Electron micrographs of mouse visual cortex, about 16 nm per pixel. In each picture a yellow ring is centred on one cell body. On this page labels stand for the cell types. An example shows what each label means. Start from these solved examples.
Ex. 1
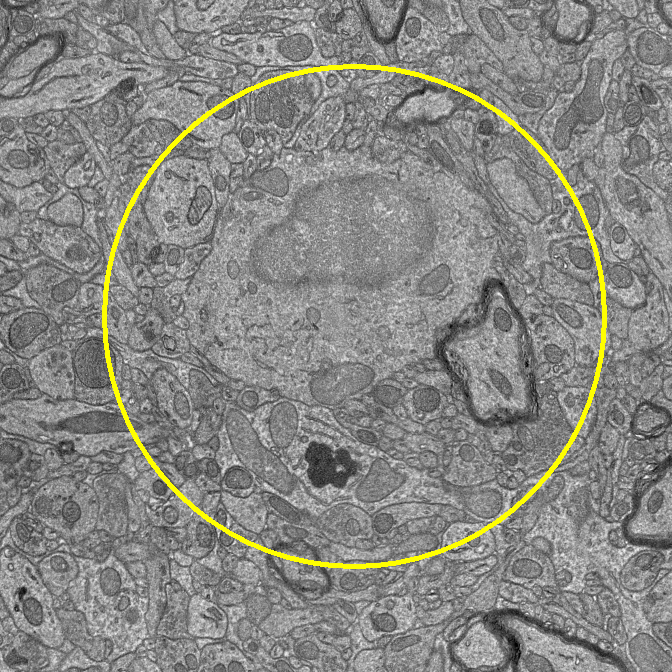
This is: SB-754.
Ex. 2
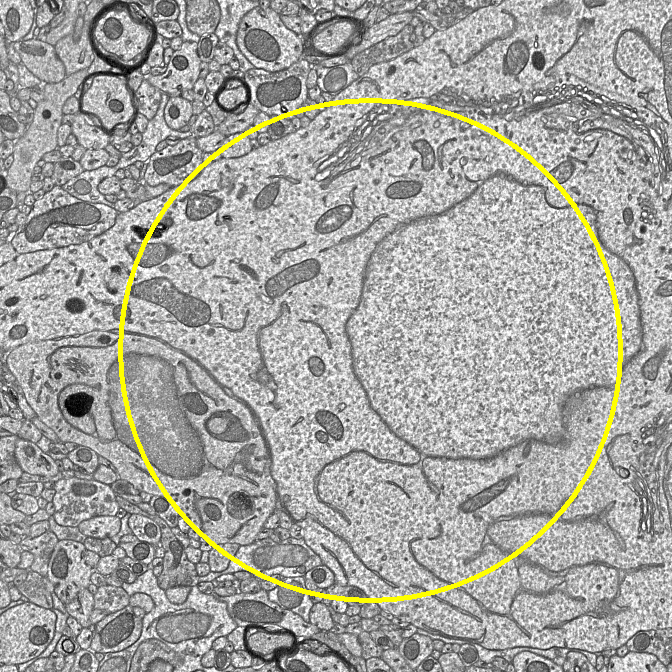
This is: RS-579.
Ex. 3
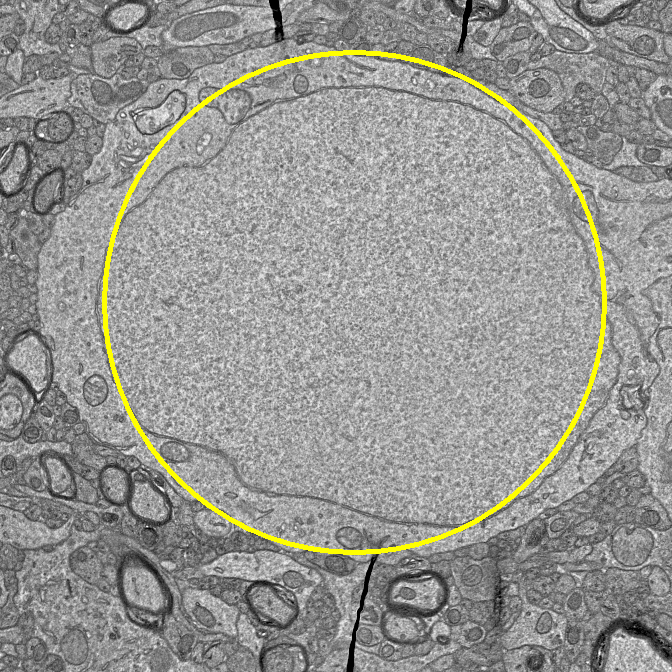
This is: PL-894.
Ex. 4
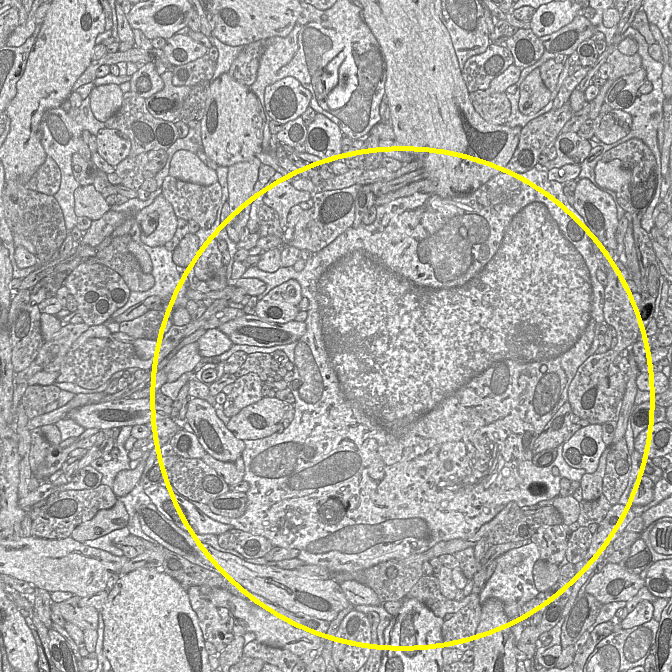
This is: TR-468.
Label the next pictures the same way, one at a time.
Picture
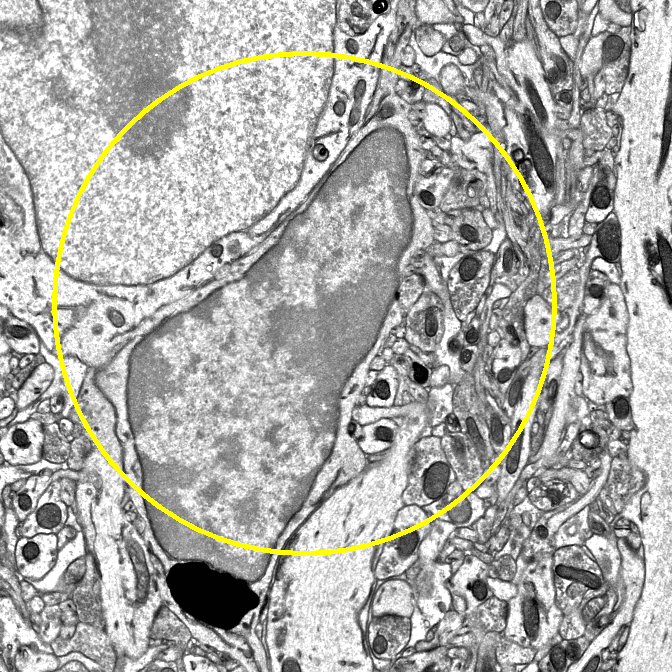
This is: RS-579.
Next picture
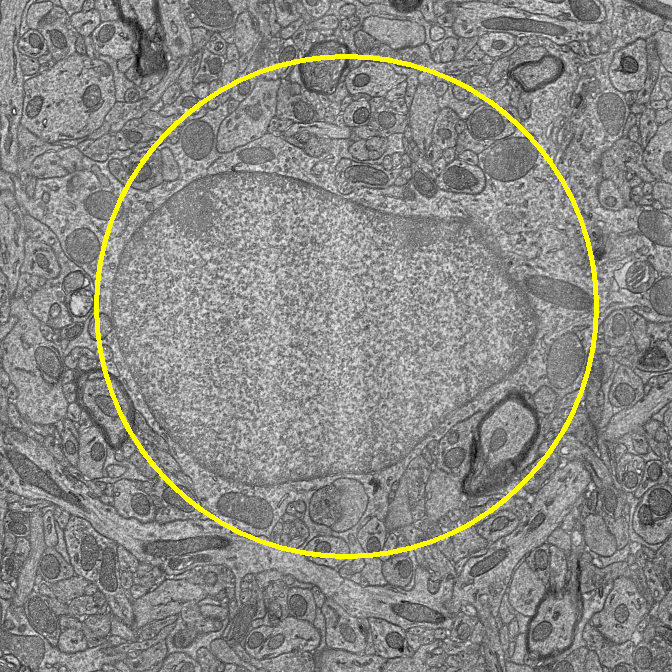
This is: TR-468.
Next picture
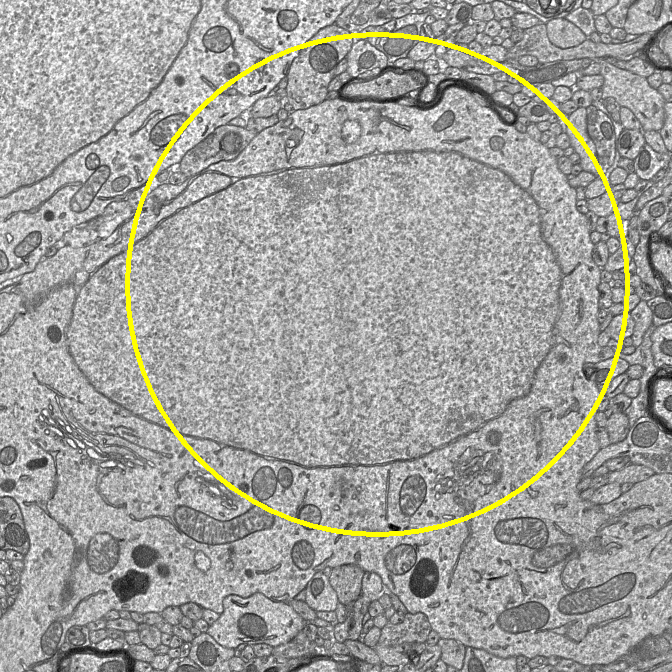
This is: PL-894.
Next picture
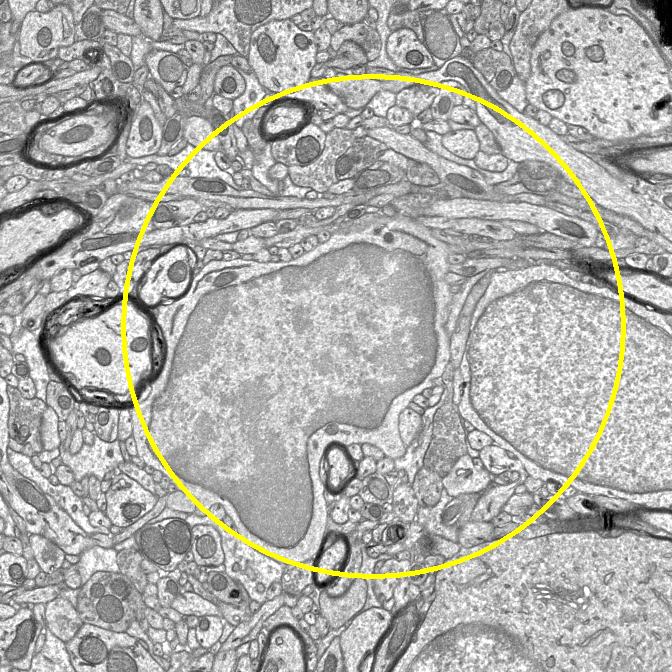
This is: RS-579.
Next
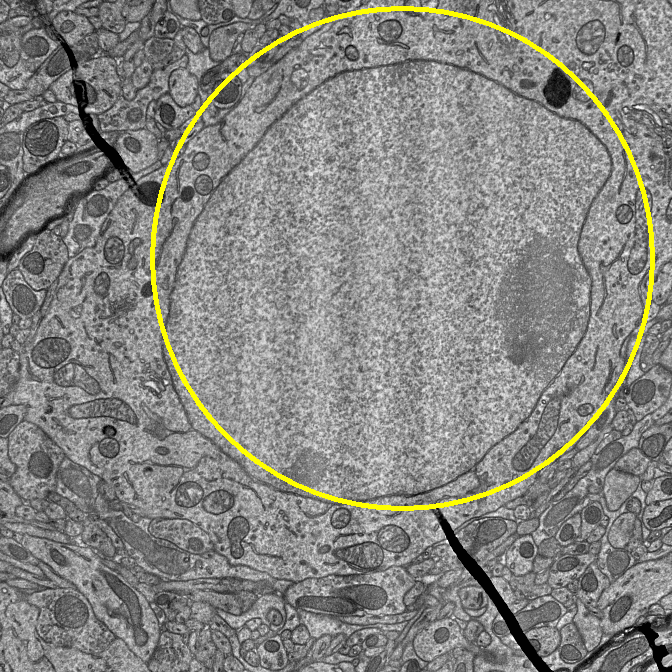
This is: PL-894.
